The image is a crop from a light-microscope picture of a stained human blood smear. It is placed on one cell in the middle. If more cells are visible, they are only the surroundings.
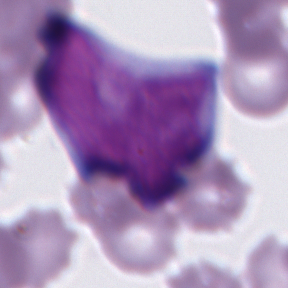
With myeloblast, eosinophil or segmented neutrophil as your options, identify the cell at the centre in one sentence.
The centrally located cell in the crop is a myeloblast.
